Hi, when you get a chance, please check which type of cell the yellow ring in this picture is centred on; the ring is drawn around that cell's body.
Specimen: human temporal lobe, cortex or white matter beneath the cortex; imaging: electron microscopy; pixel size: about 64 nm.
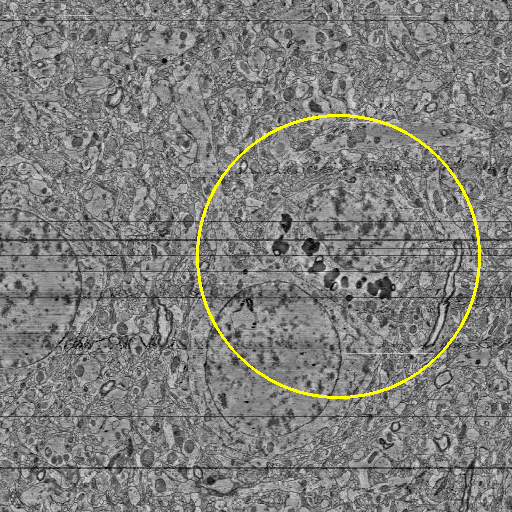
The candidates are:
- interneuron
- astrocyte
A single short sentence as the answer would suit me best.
The ring is drawn around the body of an interneuron.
